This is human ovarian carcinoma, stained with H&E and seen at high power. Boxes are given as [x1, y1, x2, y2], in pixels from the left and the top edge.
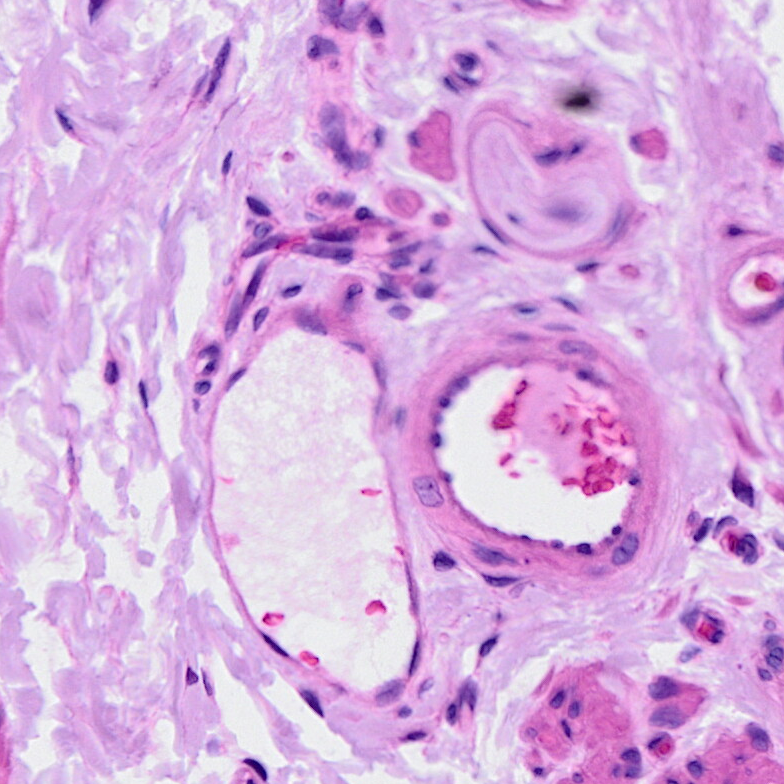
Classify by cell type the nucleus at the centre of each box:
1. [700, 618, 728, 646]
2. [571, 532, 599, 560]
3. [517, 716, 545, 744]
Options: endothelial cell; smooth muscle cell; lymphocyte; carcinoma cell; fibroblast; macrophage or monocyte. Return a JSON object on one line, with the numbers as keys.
{"1": "endothelial cell", "2": "endothelial cell", "3": "smooth muscle cell"}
